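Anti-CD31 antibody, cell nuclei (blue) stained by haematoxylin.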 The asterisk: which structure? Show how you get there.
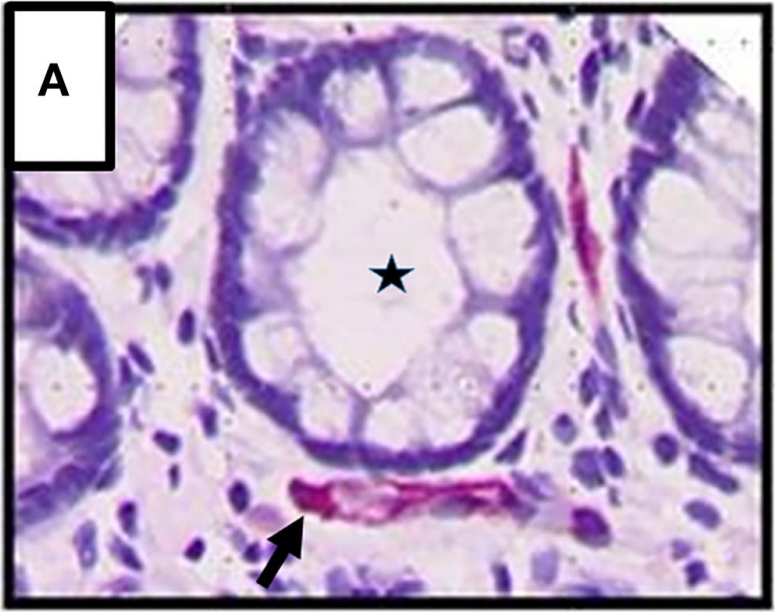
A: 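Colonic crypt. The asterisk lies in the central lumen of a round glandular profile. The lumen is ringed by a single layer of epithelial cells with dark basal nuclei. Many pale, rounded, vacuole-like cells line the gland.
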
